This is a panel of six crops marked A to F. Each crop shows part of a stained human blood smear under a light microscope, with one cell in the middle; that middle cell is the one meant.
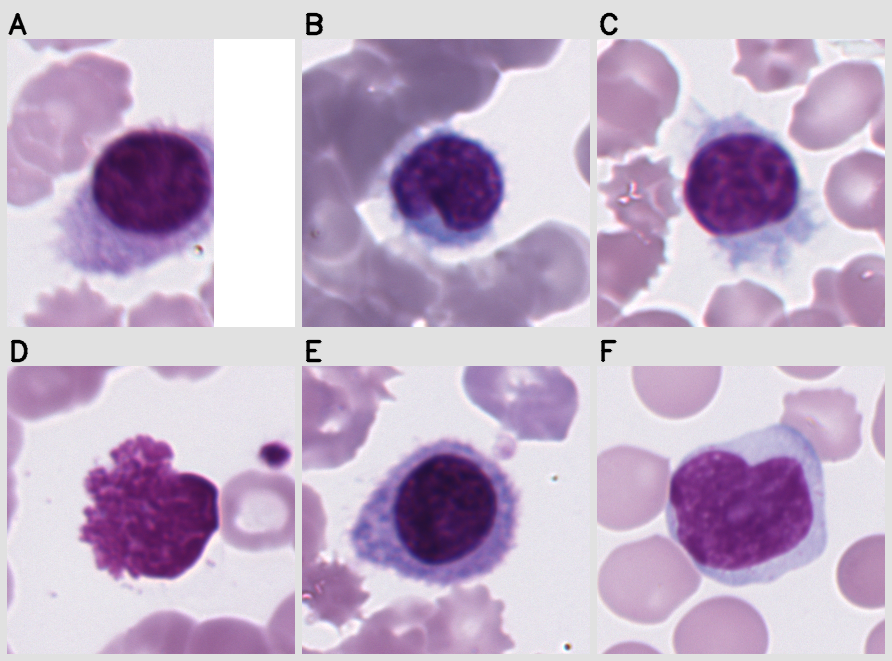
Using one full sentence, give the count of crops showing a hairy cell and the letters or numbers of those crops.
In the series, four crops show hairy cells, these being A, B, C and E.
